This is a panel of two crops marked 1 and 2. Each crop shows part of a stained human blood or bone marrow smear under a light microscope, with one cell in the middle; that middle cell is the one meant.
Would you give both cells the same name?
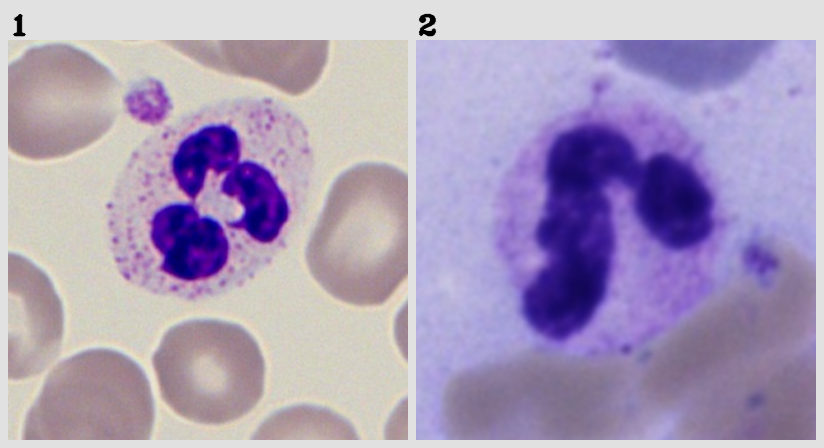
yes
